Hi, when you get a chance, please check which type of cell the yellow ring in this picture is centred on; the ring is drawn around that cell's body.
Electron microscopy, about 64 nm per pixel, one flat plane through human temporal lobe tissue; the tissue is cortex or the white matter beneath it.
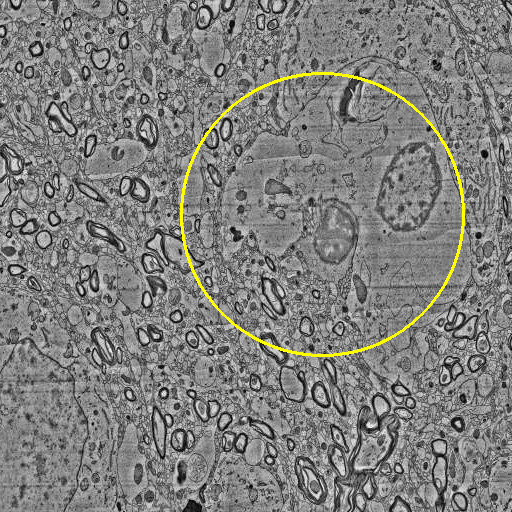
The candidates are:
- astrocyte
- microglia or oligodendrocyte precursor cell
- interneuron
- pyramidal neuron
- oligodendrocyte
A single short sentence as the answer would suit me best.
The ring is drawn around the body of an oligodendrocyte.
